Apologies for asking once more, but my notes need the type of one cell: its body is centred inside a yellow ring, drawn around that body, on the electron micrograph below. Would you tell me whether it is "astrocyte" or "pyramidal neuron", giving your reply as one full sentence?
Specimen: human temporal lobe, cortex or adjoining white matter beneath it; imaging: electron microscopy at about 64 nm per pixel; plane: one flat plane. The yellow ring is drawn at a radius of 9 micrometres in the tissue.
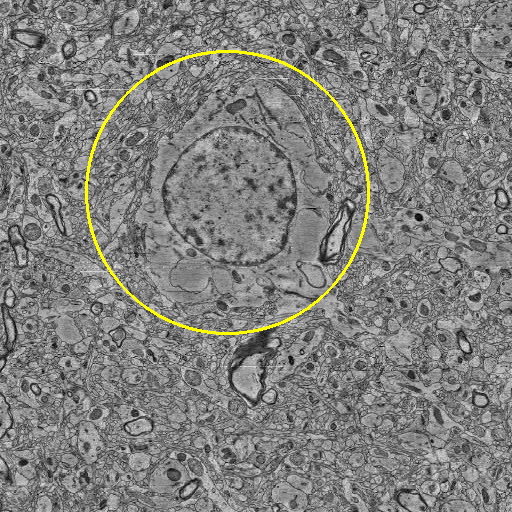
The cell that the yellow ring is centred on is an astrocyte in this micrograph.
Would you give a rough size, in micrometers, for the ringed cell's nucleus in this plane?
Roughly 9 micrometres across for the nucleus, in this plane.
